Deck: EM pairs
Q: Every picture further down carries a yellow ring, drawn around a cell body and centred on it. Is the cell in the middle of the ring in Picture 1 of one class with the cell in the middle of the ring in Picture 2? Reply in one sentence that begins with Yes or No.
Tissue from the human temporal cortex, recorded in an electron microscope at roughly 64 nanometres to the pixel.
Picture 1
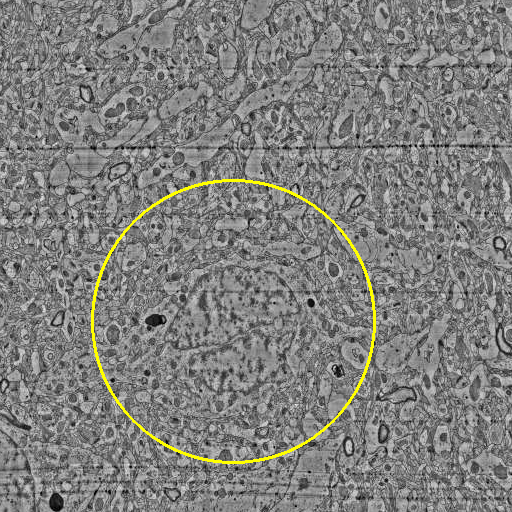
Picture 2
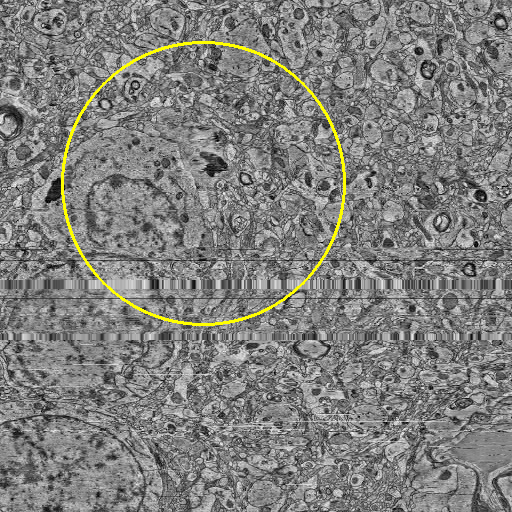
No, the cell centred in the ring of Picture 1 and the one in Picture 2 belong to separate classes.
